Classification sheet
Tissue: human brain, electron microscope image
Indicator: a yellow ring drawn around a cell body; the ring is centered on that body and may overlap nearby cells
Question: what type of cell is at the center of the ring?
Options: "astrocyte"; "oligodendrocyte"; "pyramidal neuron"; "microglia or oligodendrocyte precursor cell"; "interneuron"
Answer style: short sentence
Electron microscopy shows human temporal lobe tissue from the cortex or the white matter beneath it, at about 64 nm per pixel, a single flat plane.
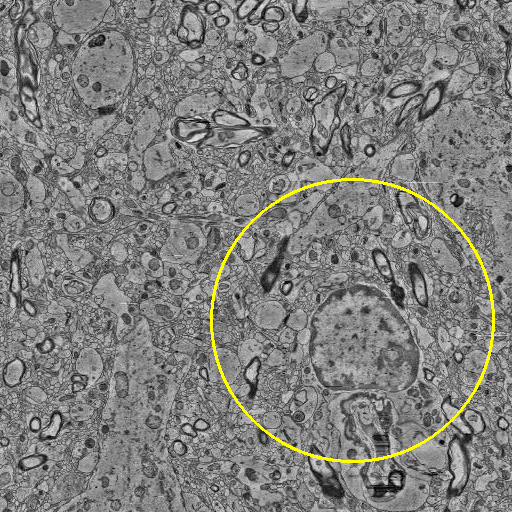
At the ring's center is a microglial cell or oligodendrocyte precursor cell.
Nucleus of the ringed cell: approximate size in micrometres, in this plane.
Approximately 8 by 6 micrometers in this plane.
